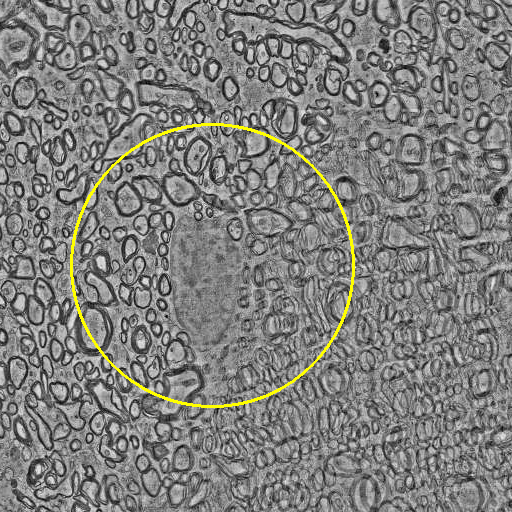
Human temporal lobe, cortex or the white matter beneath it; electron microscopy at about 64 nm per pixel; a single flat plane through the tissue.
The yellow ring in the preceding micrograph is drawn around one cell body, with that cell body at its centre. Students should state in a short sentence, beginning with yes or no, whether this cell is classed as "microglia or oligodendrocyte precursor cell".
No, this cell is of another type.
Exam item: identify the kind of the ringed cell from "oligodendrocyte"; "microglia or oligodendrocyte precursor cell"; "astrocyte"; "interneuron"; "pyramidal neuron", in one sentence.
Here, the ring is centred on an oligodendrocyte instead.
